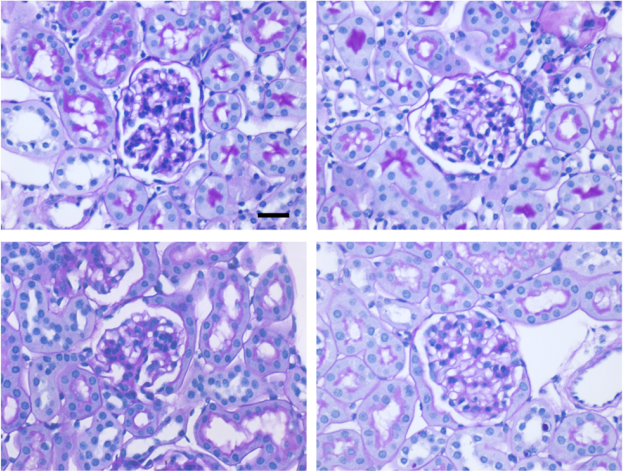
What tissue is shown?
Kidneys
